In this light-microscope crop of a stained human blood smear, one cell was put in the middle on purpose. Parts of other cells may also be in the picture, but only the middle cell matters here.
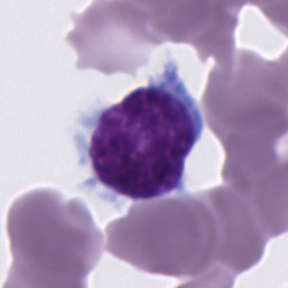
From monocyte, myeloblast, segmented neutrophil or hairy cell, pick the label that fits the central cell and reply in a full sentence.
The cell under consideration, at the middle of the crop, is a hairy cell.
